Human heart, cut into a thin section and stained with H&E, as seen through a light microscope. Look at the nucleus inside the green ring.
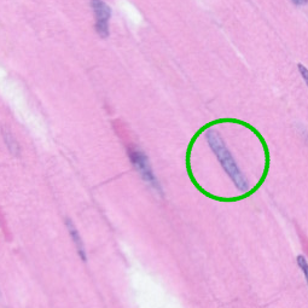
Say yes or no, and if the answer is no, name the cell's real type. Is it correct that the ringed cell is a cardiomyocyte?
Yes.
